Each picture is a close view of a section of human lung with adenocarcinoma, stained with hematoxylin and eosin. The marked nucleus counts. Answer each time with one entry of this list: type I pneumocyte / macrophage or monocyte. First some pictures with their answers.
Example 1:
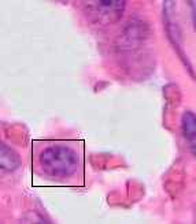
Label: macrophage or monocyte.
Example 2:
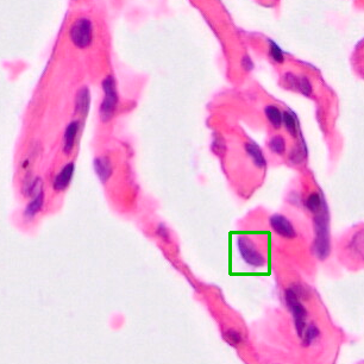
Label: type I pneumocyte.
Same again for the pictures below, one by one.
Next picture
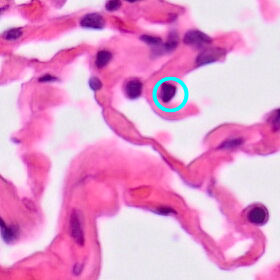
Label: type I pneumocyte.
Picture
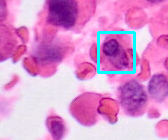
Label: macrophage or monocyte.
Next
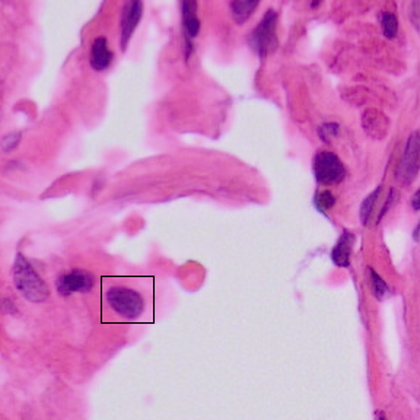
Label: type I pneumocyte.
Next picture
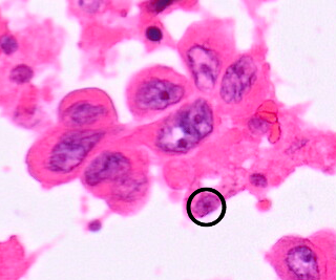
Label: macrophage or monocyte.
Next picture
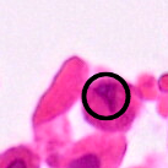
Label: macrophage or monocyte.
